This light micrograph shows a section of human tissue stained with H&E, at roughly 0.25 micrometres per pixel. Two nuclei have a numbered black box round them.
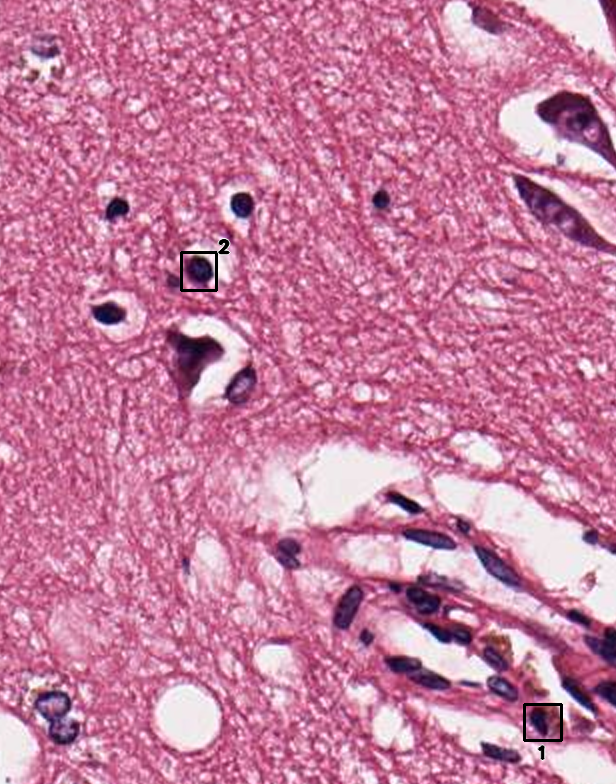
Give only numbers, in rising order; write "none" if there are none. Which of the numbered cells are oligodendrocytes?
2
